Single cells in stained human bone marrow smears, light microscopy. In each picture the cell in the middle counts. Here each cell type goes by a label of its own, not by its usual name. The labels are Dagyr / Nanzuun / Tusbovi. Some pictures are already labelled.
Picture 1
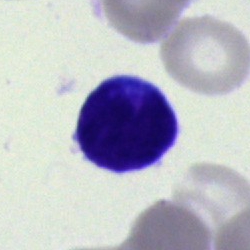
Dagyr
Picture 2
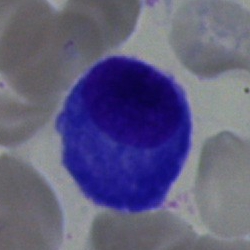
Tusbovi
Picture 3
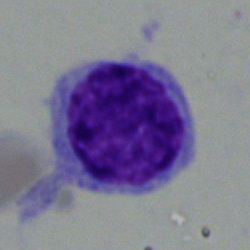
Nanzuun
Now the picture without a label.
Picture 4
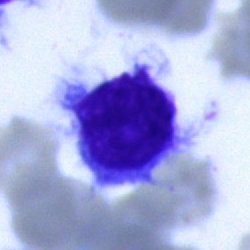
Nanzuun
